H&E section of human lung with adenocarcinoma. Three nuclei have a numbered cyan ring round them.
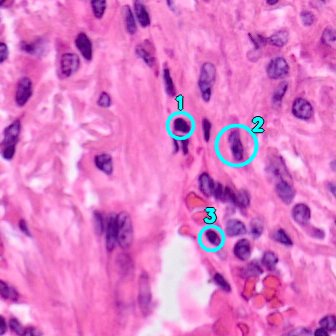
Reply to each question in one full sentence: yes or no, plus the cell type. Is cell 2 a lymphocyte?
No, the cell tagged 2 is a plasma cell, and not a lymphocyte.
